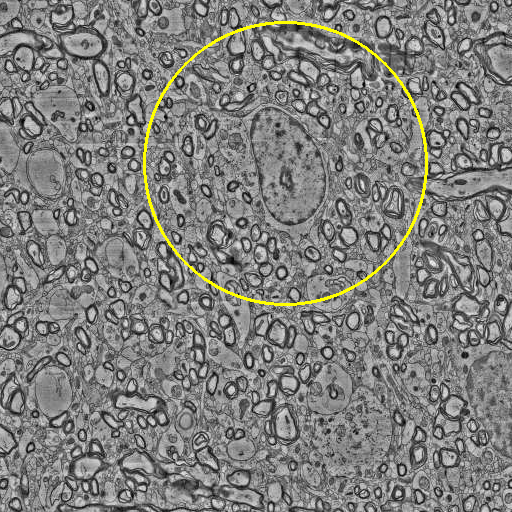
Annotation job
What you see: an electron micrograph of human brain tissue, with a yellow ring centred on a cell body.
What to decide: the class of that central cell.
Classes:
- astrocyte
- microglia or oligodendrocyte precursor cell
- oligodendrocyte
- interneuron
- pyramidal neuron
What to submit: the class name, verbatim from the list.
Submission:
microglia or oligodendrocyte precursor cell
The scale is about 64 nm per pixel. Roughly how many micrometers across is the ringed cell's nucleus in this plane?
Roughly 8 micrometres by 4 micrometres, so the nucleus is clearly longer than it is wide in this plane.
